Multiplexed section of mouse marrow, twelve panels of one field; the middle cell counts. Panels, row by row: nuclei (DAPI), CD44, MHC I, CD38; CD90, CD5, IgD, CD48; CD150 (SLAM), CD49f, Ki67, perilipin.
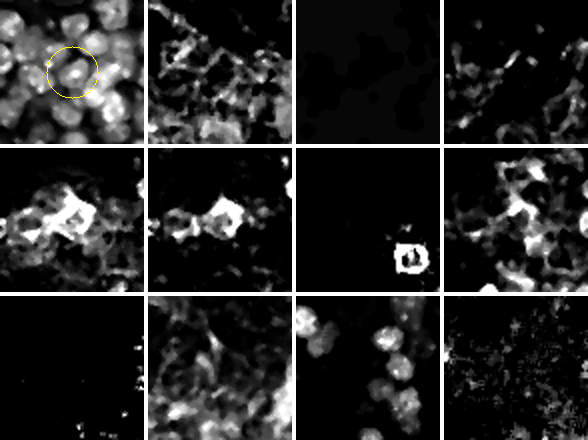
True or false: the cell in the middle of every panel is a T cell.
True.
